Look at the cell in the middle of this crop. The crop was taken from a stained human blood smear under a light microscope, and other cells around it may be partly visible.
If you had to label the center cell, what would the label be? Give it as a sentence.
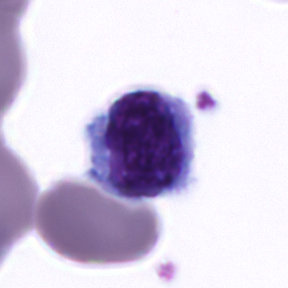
Standing at the centre of this crop is a plasma cell.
